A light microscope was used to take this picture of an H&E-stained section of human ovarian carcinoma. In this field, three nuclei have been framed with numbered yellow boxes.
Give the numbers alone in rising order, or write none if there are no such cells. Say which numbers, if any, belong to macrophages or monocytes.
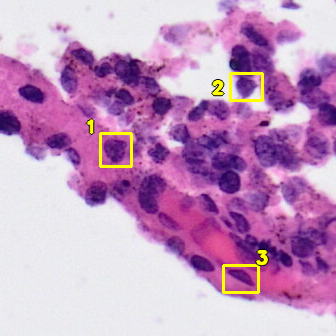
1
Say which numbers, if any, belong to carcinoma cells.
2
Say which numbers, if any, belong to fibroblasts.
none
